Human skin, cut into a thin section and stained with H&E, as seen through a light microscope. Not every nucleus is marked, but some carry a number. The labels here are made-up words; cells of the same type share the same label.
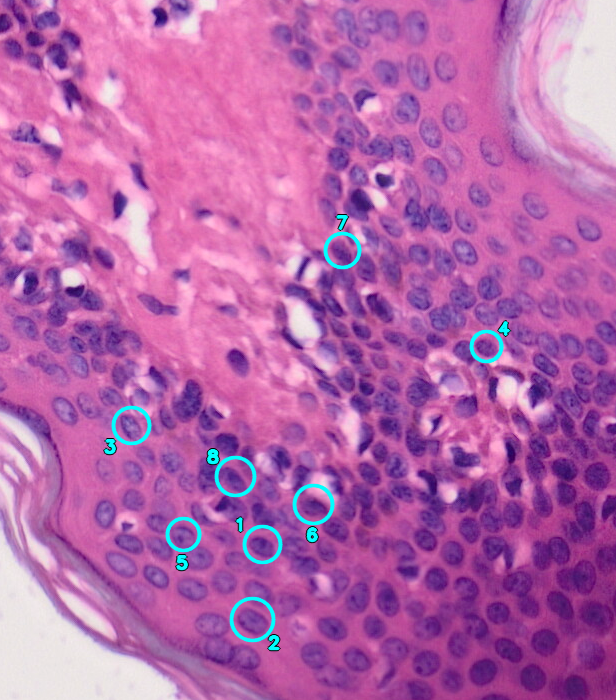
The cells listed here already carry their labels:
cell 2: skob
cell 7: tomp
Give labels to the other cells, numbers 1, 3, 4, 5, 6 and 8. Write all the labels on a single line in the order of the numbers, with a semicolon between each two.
skob; skob; tomp; skob; tomp; tomp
